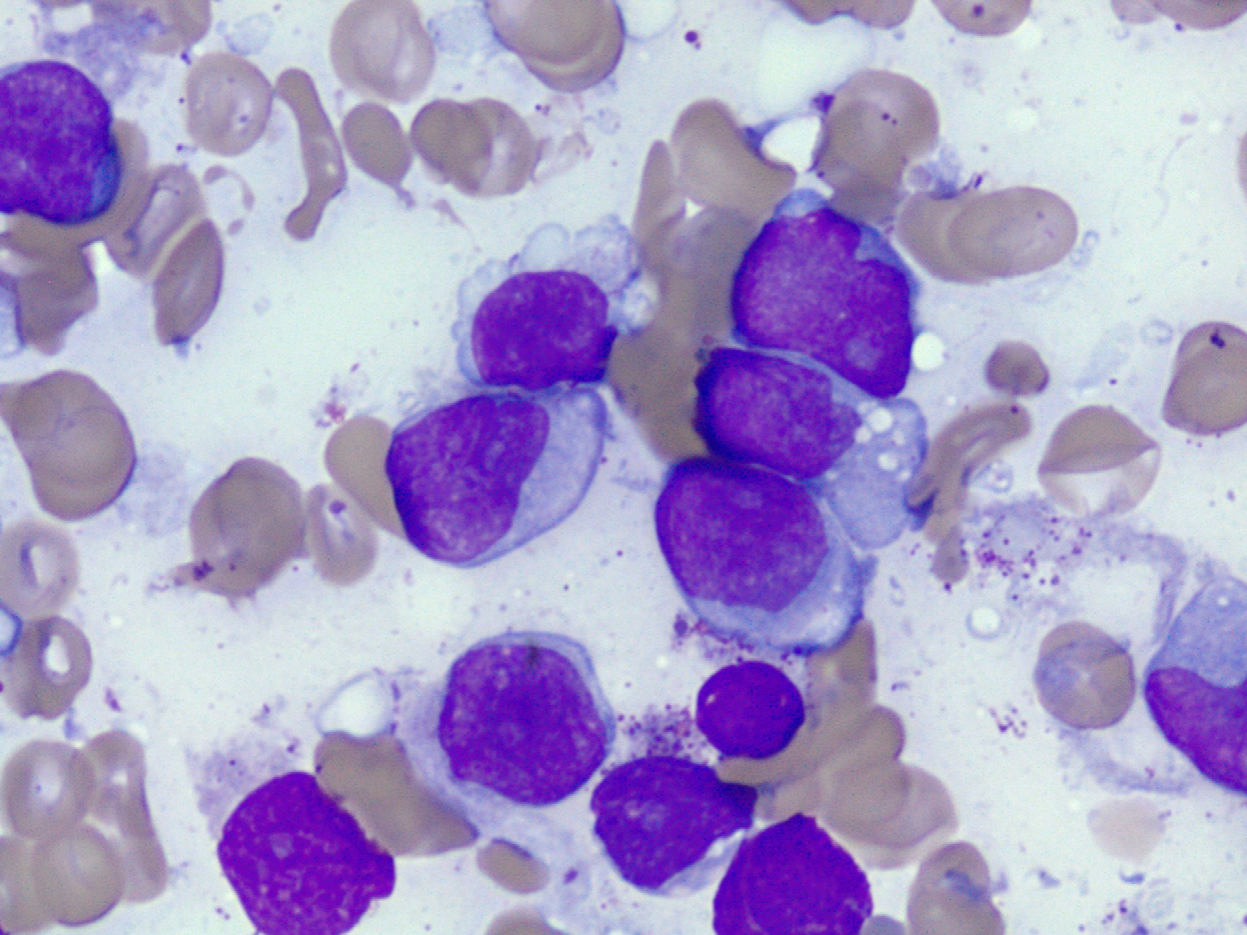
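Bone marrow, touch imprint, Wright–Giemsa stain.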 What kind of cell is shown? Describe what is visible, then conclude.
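Many medium to large cells with large purple nuclei that fill most of the cell. Nuclear chromatin is finely dispersed rather than clumped. Thin rims of pale blue cytoplasm without visible granules. So: blasts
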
